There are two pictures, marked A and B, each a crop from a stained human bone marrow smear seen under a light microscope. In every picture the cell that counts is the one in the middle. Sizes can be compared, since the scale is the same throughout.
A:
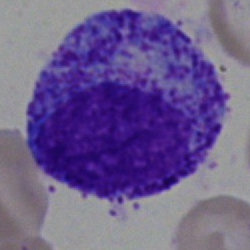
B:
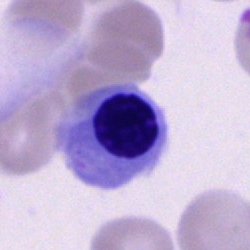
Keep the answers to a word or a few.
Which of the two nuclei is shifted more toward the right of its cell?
B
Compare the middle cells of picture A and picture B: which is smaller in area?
B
